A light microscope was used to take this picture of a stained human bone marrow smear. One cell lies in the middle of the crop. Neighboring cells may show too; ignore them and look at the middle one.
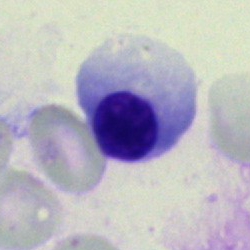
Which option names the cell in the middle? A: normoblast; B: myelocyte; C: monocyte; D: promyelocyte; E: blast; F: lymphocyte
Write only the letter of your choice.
A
